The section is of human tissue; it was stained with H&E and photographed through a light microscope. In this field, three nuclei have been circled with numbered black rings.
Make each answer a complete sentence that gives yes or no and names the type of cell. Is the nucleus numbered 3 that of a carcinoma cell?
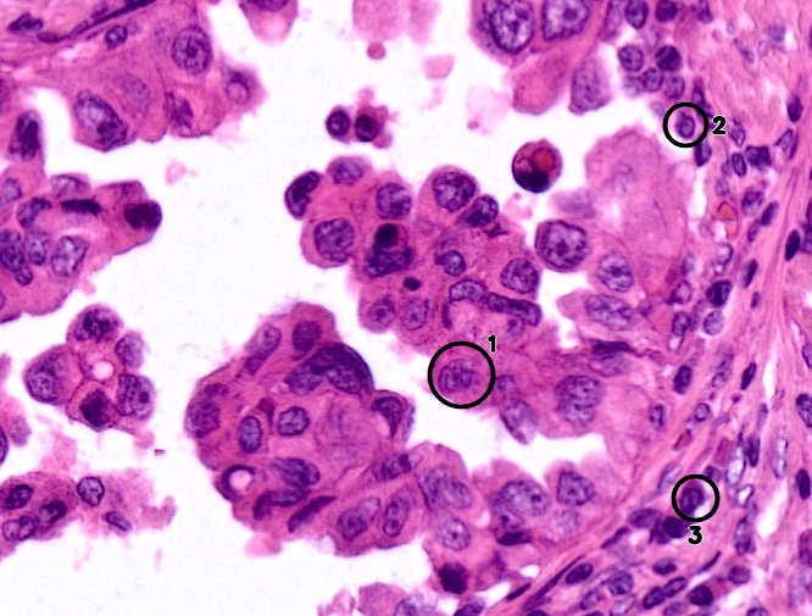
No, the cell bearing the number 3 is a plasma cell, not a carcinoma cell.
